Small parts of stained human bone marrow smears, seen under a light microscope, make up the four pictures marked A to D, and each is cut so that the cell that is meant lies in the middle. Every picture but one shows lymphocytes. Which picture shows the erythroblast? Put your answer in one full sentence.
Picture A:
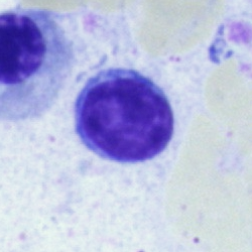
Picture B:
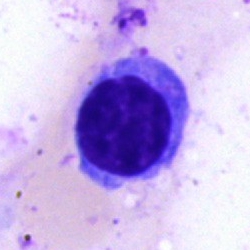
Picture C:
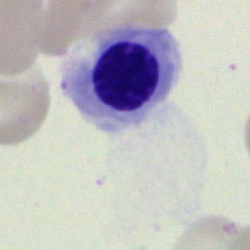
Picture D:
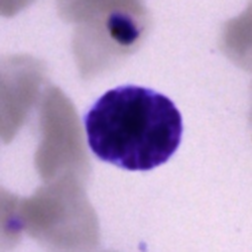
The erythroblast is the one in picture C.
